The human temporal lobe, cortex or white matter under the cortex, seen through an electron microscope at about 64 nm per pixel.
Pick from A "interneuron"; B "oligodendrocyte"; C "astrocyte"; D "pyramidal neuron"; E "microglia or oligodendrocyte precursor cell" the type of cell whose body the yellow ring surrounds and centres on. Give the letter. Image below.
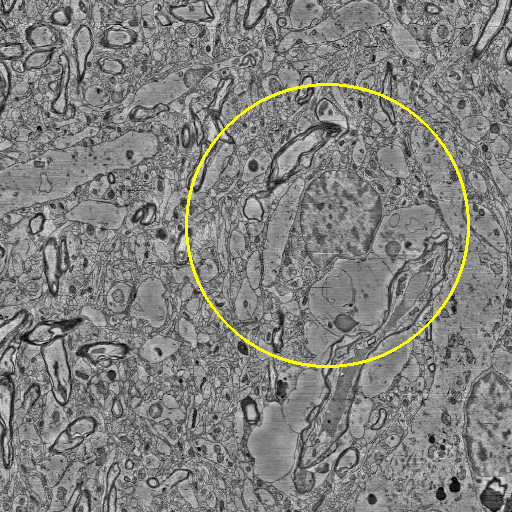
B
